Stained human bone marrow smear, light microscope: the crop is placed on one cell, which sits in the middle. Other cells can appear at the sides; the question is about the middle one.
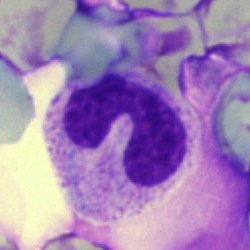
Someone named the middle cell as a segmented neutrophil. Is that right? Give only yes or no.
no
